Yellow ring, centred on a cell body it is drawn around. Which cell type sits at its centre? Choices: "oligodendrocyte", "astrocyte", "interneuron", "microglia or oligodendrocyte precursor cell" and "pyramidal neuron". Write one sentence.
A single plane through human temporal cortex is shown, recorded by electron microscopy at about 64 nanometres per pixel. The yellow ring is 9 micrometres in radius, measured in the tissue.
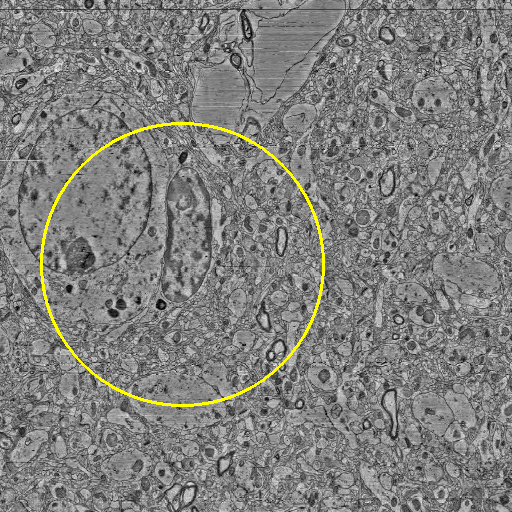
At the centre of the ring sits a microglial cell or oligodendrocyte precursor cell.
